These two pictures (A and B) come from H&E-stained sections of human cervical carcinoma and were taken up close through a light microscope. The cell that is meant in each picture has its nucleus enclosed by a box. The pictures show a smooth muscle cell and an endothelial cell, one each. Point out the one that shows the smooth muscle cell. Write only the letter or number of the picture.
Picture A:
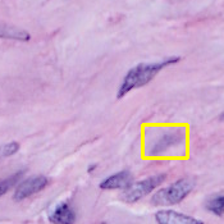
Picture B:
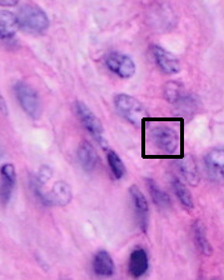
A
